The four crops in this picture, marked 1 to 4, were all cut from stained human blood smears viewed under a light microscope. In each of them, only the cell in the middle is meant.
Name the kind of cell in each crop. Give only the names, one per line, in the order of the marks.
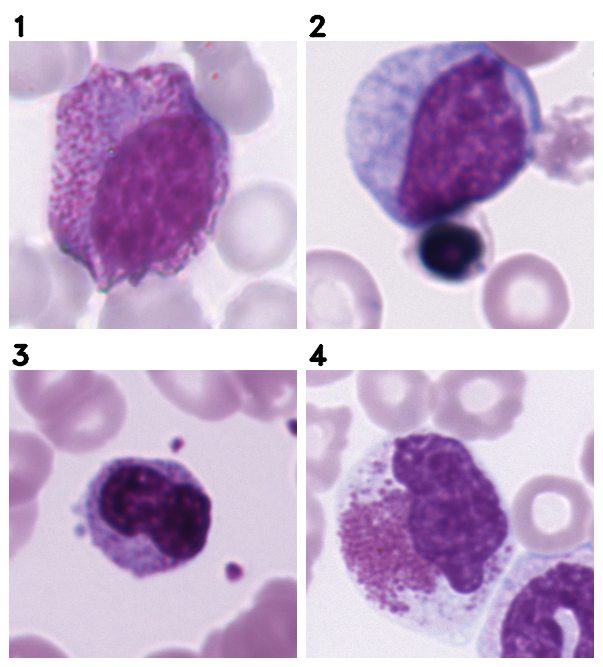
promyelocyte
promyelocyte
large granular lymphocyte
eosinophil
